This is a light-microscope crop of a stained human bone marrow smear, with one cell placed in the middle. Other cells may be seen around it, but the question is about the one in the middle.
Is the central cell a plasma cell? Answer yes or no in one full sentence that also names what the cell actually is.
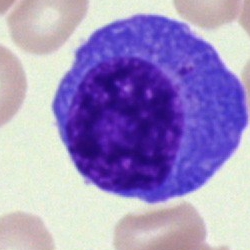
Yes, within this crop, the central cell is a plasma cell.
